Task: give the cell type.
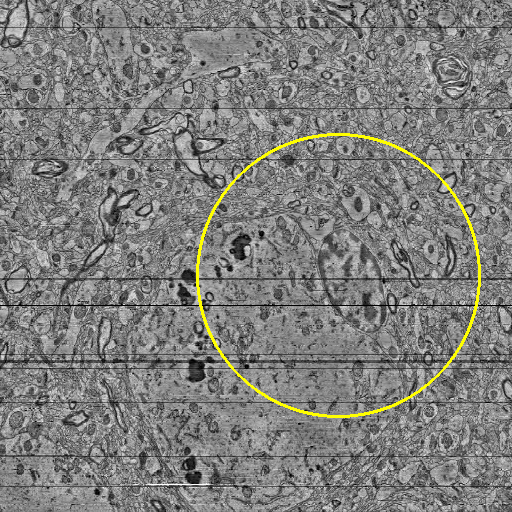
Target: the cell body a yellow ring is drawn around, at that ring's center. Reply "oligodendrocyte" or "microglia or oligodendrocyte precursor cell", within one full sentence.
In this picture, the cell whose body lies at the ring's center is a microglial cell or oligodendrocyte precursor cell.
